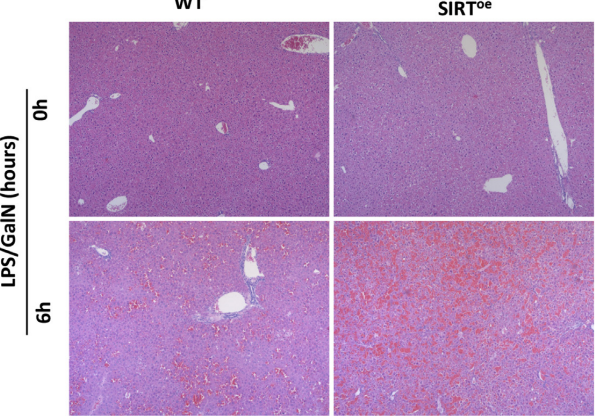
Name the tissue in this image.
liver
